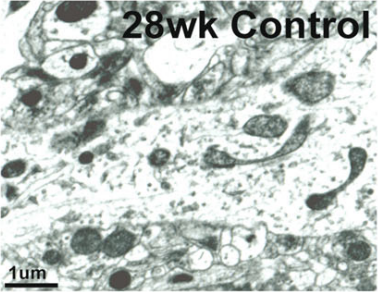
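Numerous dark, electron-dense mitochondria are scattered among the processes, some round, some oval and some elongated or curved. Between them lies pale cytoplasm containing fine filaments and small vesicles, and a few round membrane-bound profiles appear near the upper and lower edges.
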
